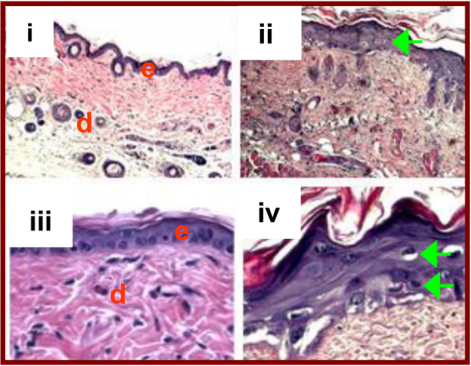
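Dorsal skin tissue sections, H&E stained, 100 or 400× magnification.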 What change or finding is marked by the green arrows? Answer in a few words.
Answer: Acanthosis.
